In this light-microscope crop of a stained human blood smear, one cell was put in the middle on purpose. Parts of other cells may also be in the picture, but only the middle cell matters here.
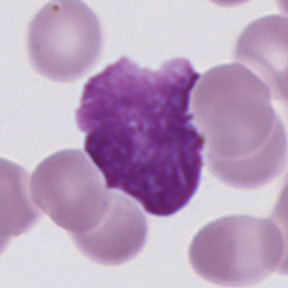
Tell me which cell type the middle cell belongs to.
smudge cell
